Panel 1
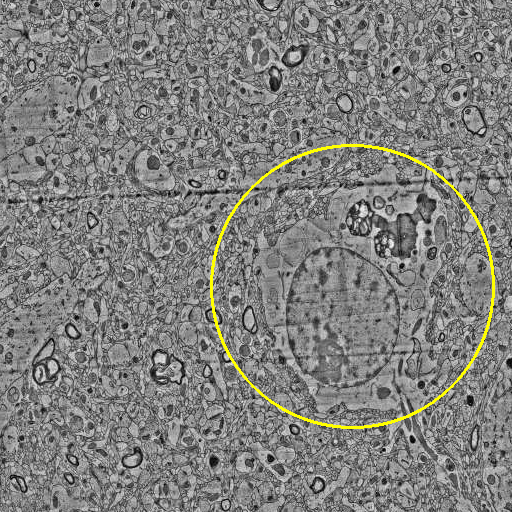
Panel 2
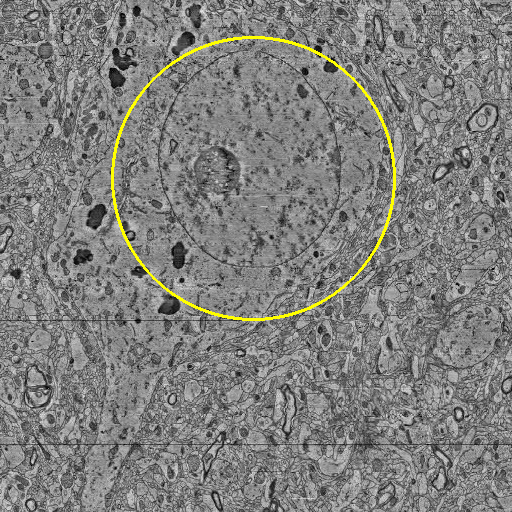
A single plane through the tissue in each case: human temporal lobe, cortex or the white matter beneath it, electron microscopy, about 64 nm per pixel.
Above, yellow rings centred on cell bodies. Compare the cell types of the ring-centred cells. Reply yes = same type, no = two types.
no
